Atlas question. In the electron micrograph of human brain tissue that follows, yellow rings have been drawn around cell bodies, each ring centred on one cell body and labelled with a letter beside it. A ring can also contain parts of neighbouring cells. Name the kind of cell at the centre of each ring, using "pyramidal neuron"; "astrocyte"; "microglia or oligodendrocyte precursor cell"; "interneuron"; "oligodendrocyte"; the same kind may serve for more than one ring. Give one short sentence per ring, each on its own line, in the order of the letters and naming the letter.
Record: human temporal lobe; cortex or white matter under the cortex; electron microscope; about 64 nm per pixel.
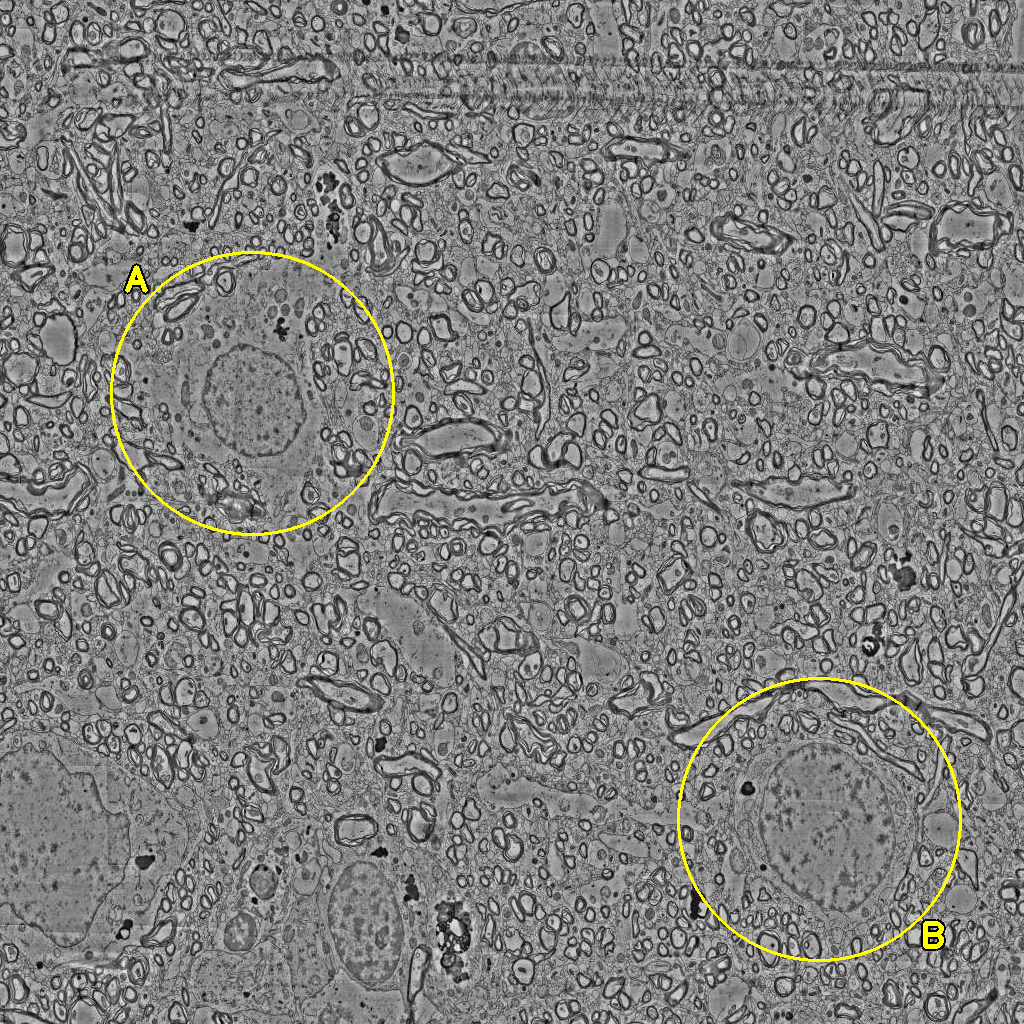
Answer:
For ring A, the cell at the centre is an astrocyte.
For ring B, the cell at the centre is an interneuron.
